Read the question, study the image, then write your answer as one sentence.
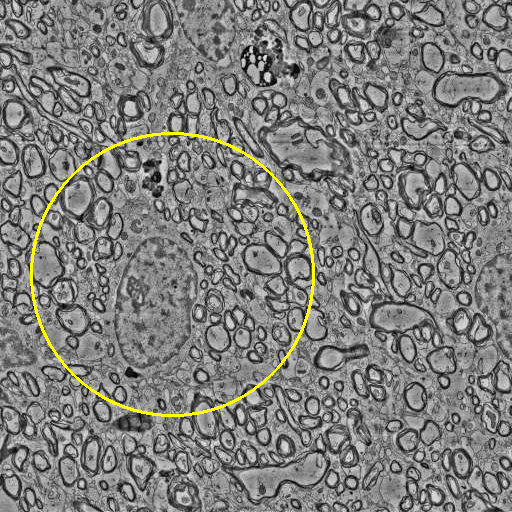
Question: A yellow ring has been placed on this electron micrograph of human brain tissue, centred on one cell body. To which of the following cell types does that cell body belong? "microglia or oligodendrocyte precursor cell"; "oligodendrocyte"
That cell body belongs to an oligodendrocyte.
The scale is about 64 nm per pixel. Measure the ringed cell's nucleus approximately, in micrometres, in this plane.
The ringed cell's nucleus is roughly 8 by 5 micrometres and clearly longer than it is wide in this plane.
